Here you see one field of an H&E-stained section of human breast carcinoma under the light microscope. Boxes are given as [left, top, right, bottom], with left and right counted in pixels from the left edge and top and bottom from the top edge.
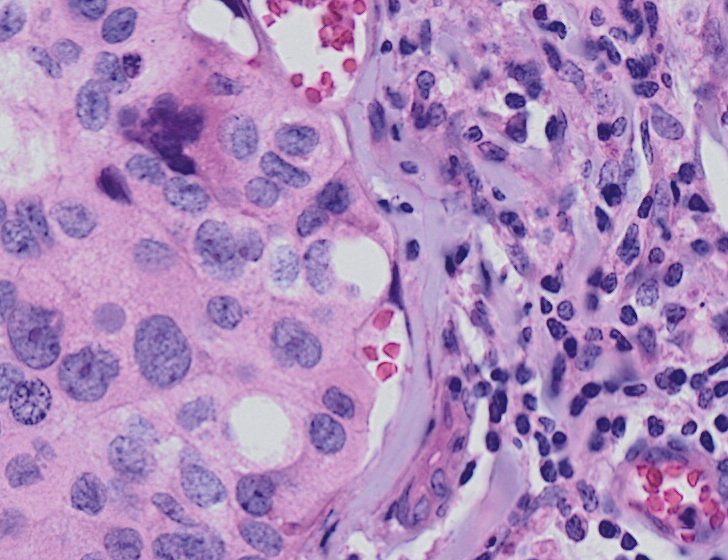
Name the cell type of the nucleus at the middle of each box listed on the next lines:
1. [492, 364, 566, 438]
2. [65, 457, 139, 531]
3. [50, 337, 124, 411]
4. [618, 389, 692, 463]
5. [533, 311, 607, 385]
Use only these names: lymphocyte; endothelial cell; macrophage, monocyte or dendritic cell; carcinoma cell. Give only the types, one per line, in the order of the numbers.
lymphocyte
carcinoma cell
carcinoma cell
lymphocyte
lymphocyte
